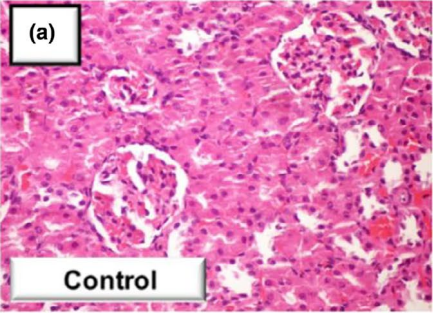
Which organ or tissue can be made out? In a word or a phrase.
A: renal parenchyma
